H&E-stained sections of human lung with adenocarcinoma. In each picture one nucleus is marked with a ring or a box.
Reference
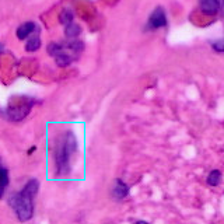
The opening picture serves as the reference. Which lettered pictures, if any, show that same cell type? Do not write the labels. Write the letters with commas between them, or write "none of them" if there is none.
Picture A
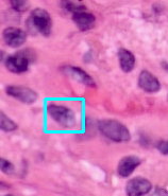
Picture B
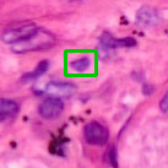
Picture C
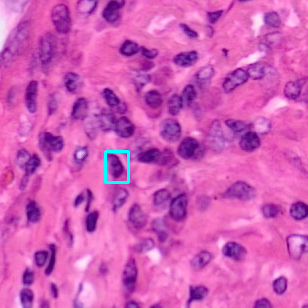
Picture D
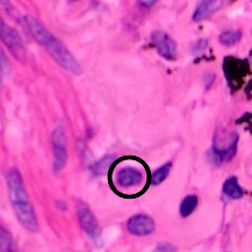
none of them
